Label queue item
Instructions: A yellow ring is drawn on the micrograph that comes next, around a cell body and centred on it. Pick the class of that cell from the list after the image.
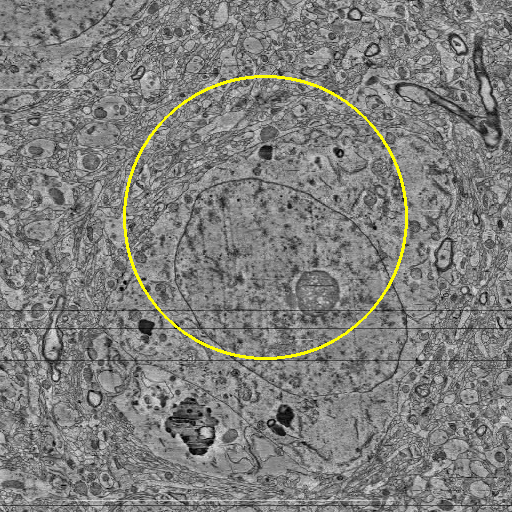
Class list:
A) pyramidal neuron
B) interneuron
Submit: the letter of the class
A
